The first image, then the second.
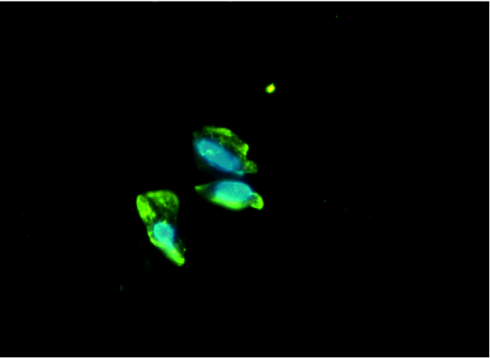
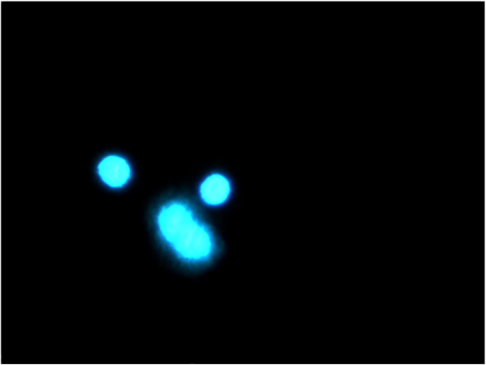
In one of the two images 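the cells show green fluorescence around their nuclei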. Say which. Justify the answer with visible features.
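Second image: only blue round and oval nuclei are visible, with no green around them. First image: three elongated cells show bright green fluorescence along their bodies and edges around blue oval nuclei. On this evidence: the first image.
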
